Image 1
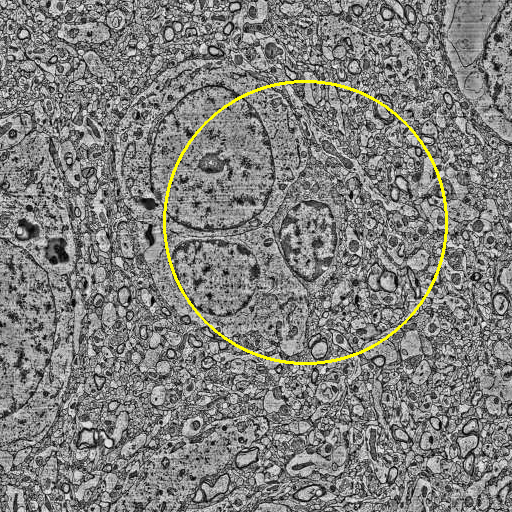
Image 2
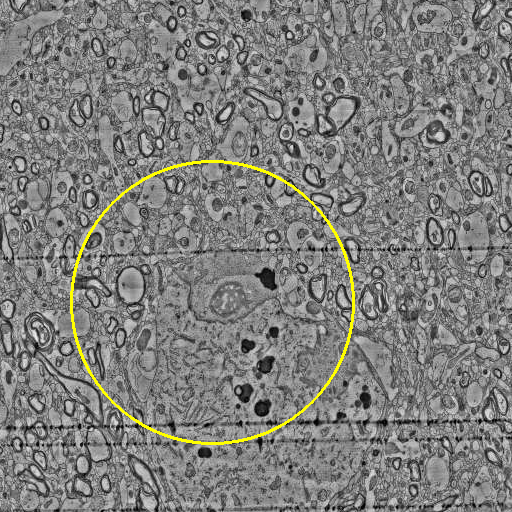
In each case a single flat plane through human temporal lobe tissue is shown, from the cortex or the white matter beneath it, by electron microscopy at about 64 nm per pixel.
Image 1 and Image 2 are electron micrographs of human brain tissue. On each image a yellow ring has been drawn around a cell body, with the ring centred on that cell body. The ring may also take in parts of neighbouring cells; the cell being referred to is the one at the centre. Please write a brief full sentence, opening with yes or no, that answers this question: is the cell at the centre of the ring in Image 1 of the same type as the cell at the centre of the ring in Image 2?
Yes, both cells are of the same type.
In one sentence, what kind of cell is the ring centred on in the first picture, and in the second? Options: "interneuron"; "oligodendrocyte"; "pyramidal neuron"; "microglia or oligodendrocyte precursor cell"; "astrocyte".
In the first picture and in the second, the ring is centred on an oligodendrocyte.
